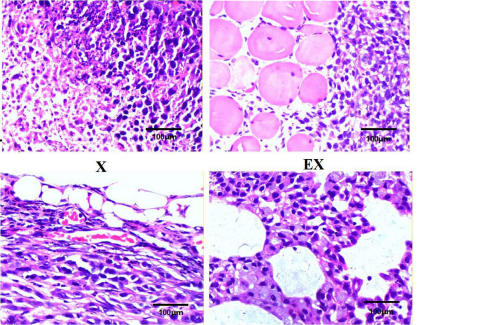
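One is a dense sheet of tumour cells with crowded, dark purple nuclei and scant pink cytoplasm. In the other three, the tumour cells lie among large rounded pink profiles, clear empty spaces or streams of elongated spindle-shaped cells.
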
